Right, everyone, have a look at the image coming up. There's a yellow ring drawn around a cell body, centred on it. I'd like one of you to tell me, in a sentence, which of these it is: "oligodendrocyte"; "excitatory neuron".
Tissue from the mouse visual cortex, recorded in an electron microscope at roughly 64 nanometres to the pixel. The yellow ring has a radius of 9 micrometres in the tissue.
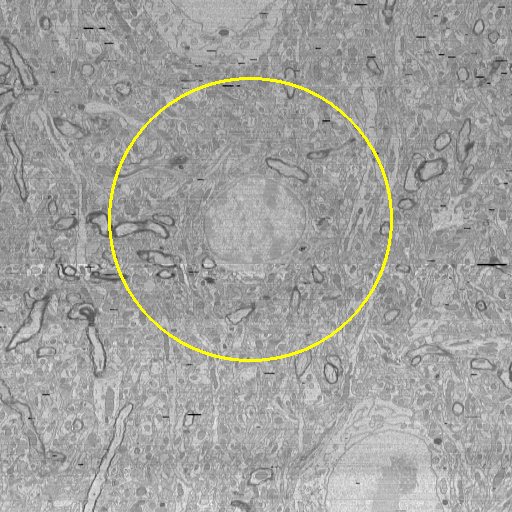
The yellow ring sits on an oligodendrocyte.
